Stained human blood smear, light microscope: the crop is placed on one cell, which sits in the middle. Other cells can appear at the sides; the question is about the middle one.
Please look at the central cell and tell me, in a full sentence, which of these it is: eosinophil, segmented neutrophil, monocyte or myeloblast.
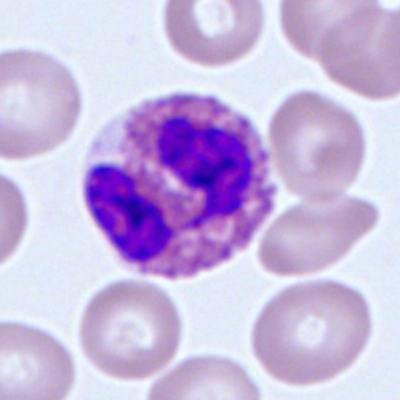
The cell of interest, in the center, is an eosinophil.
